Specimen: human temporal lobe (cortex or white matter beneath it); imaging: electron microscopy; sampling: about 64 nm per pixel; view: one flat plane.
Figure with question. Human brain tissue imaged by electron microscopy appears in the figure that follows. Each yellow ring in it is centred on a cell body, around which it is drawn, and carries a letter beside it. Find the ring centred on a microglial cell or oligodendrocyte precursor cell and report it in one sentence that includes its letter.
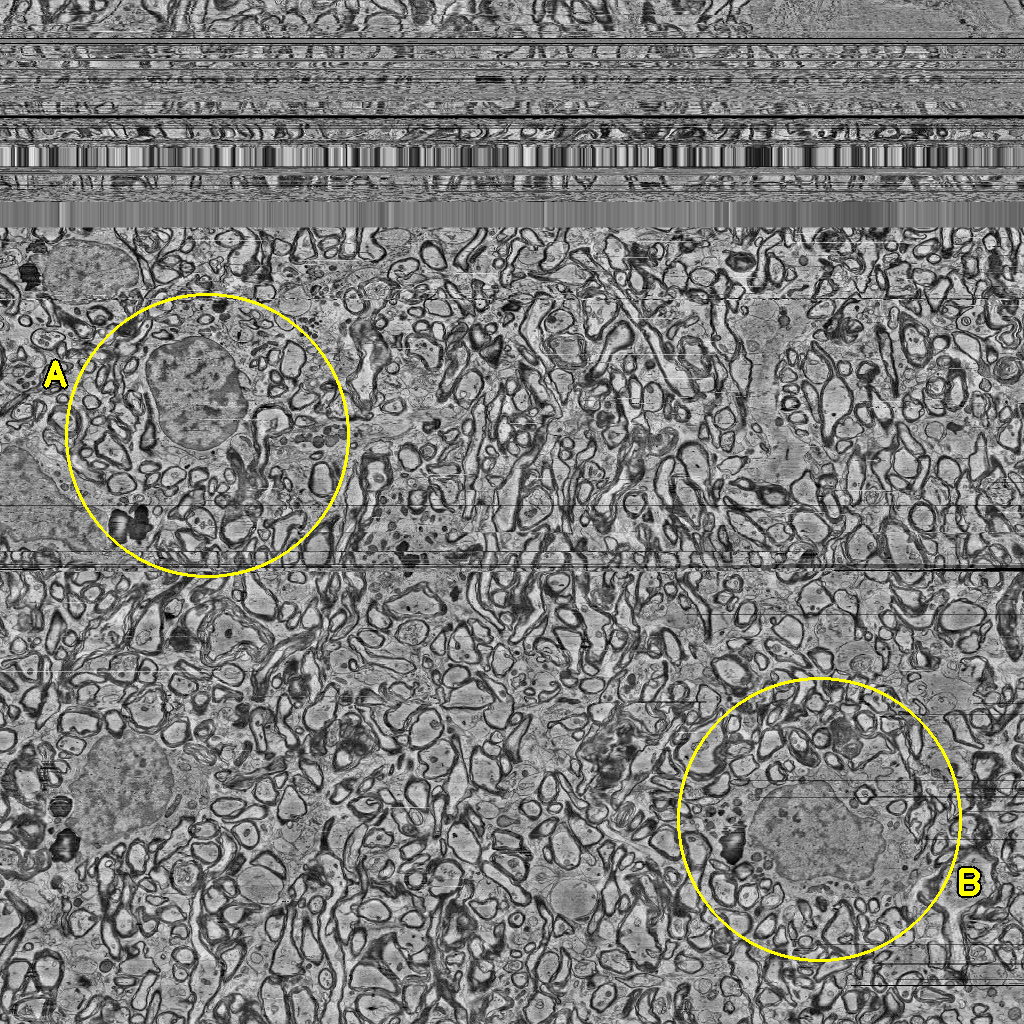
Ring A is the one centred on it.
